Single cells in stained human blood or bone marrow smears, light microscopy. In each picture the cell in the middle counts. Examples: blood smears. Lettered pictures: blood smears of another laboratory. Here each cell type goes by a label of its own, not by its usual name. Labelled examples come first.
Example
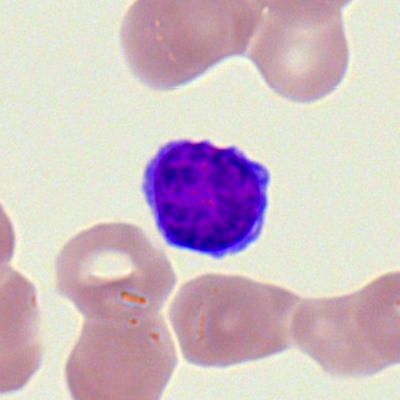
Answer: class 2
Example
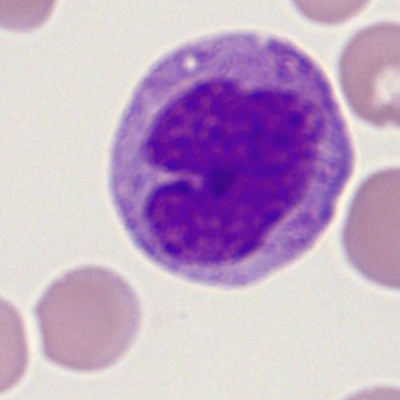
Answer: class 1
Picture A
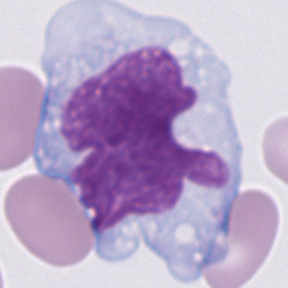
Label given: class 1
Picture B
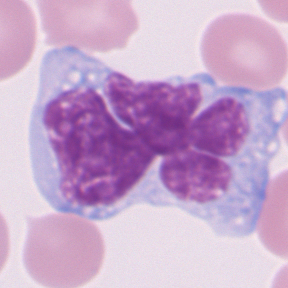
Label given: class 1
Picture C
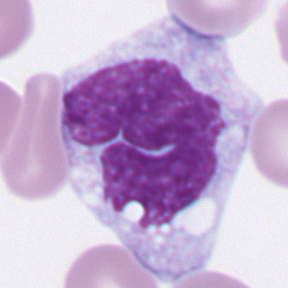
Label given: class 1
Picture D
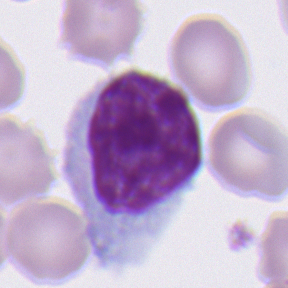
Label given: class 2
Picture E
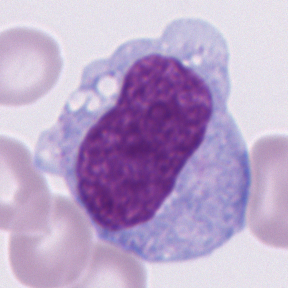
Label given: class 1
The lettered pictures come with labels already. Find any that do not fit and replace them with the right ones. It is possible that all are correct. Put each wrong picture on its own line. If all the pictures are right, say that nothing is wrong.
None of the labels needs changing.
